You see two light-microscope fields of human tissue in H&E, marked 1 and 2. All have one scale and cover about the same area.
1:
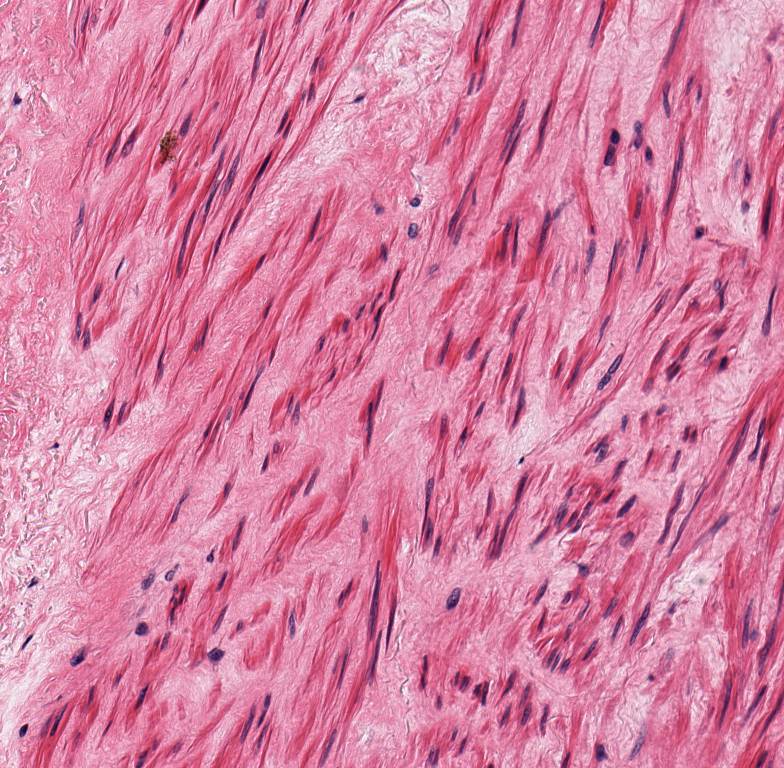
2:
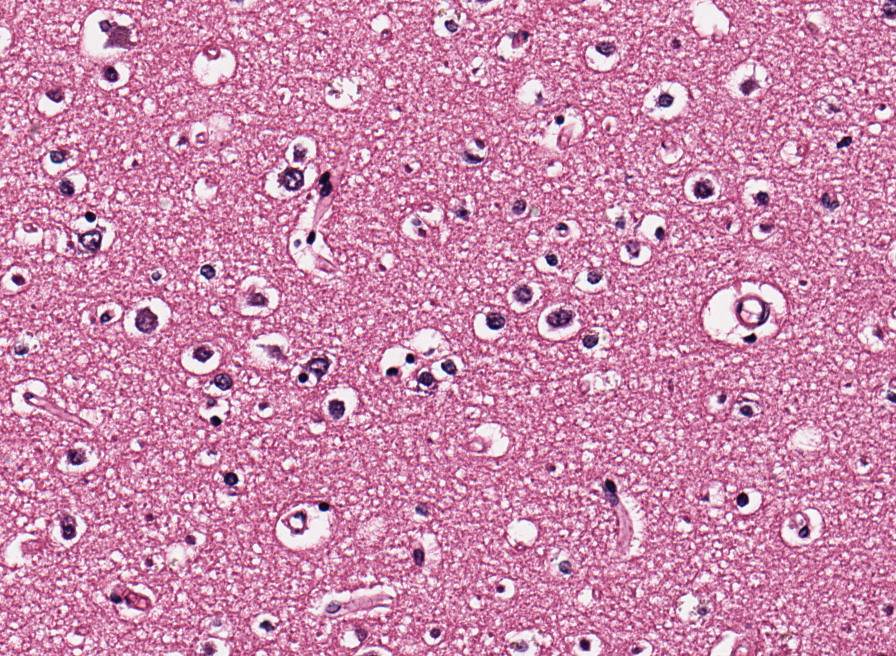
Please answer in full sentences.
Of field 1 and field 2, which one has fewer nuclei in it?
There are fewer nuclei in field 2.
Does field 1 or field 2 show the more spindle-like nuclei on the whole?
On the whole the nuclei of field 1 are more drawn out than those of field 2.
